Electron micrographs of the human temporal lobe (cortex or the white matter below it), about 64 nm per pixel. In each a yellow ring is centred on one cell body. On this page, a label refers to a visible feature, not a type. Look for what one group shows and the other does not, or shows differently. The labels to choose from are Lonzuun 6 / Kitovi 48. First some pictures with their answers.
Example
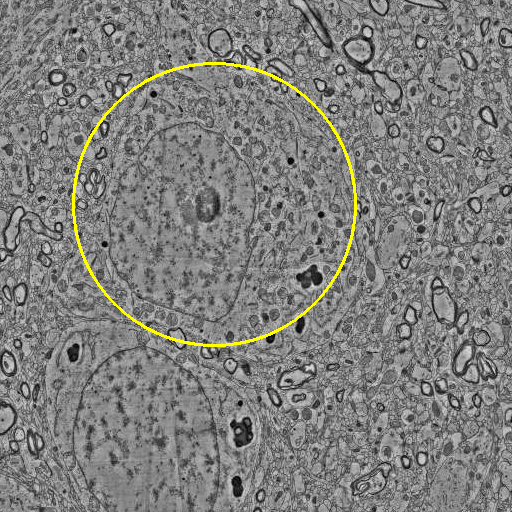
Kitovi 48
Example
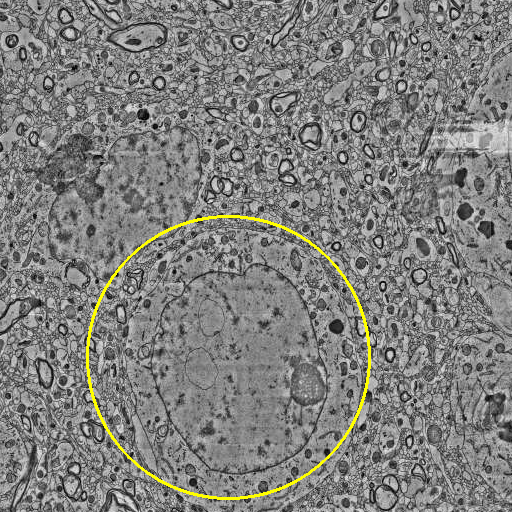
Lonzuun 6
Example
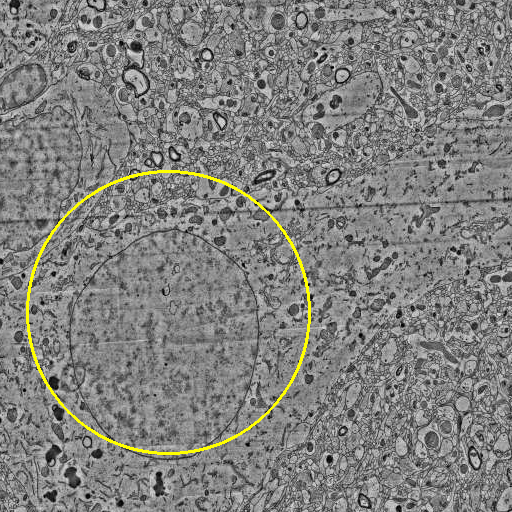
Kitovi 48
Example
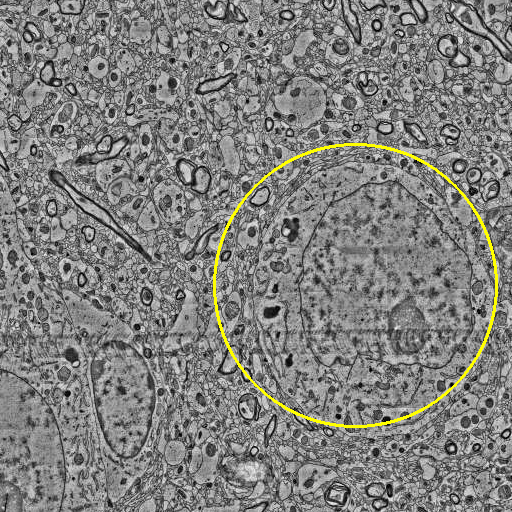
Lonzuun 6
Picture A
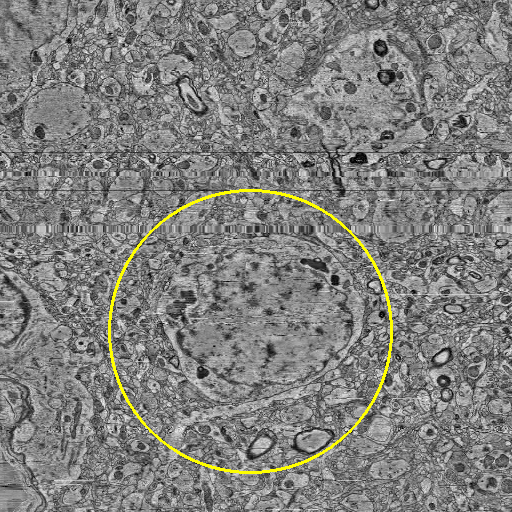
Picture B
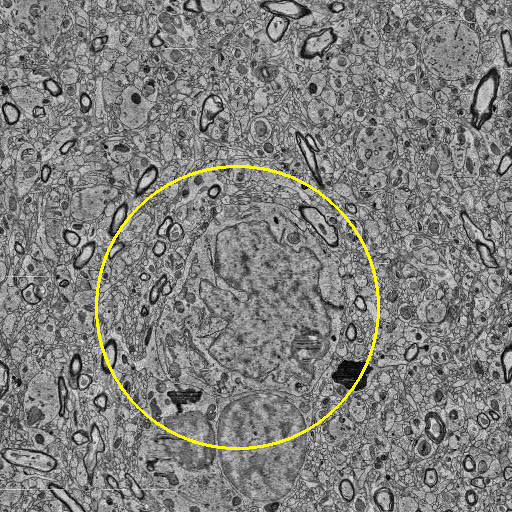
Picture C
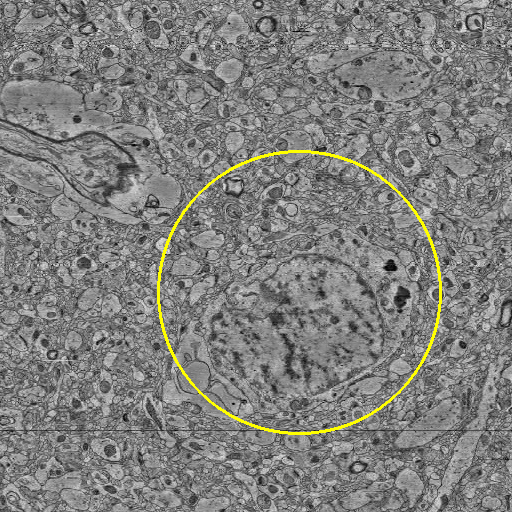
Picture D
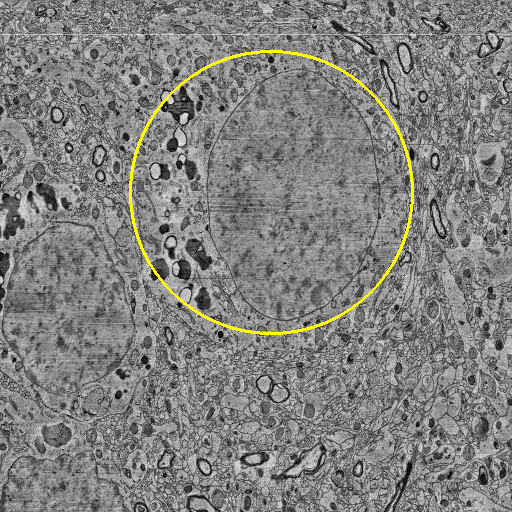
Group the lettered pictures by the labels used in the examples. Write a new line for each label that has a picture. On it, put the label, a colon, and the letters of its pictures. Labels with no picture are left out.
Lonzuun 6: B
Kitovi 48: A, C, D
